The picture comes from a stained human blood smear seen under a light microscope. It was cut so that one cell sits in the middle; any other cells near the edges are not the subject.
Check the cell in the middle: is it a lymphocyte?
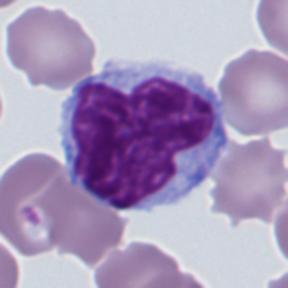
yes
